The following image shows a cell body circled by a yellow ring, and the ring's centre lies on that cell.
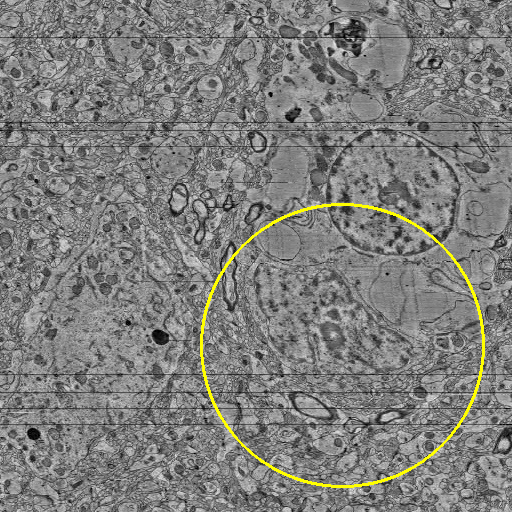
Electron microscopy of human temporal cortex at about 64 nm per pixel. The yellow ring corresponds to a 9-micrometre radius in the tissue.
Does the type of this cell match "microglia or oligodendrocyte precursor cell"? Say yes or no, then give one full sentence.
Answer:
No, the cell at the ring's centre in this picture has a different type.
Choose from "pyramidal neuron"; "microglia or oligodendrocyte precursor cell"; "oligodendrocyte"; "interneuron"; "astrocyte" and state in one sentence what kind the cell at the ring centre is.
So the cell at the centre is an interneuron.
